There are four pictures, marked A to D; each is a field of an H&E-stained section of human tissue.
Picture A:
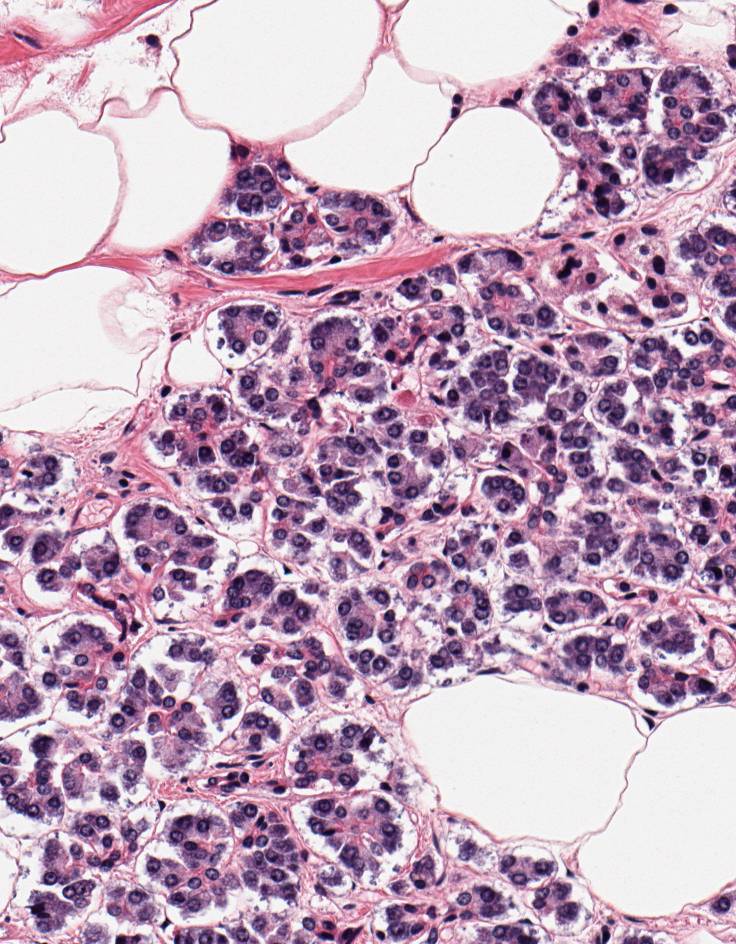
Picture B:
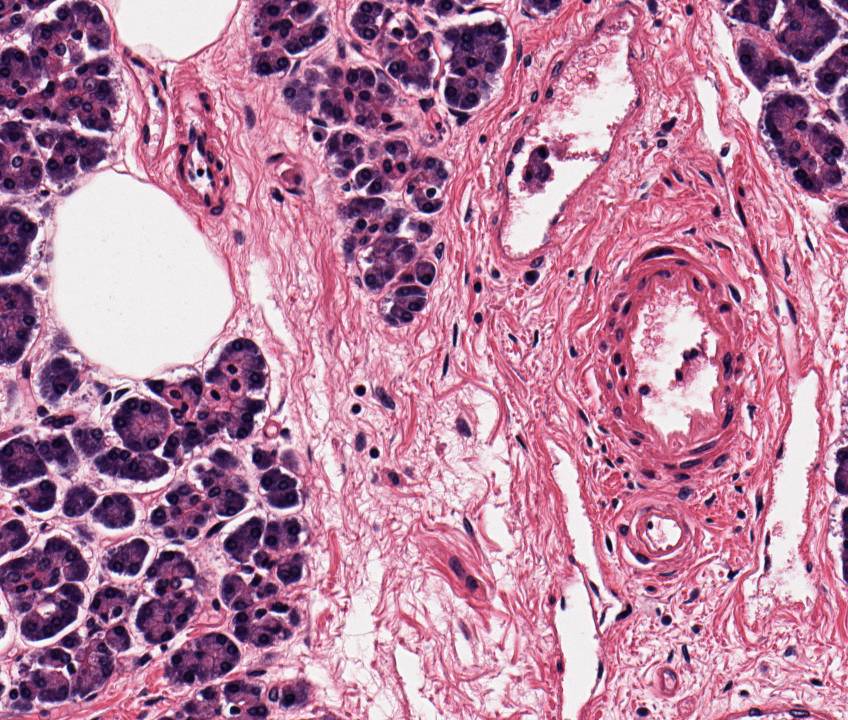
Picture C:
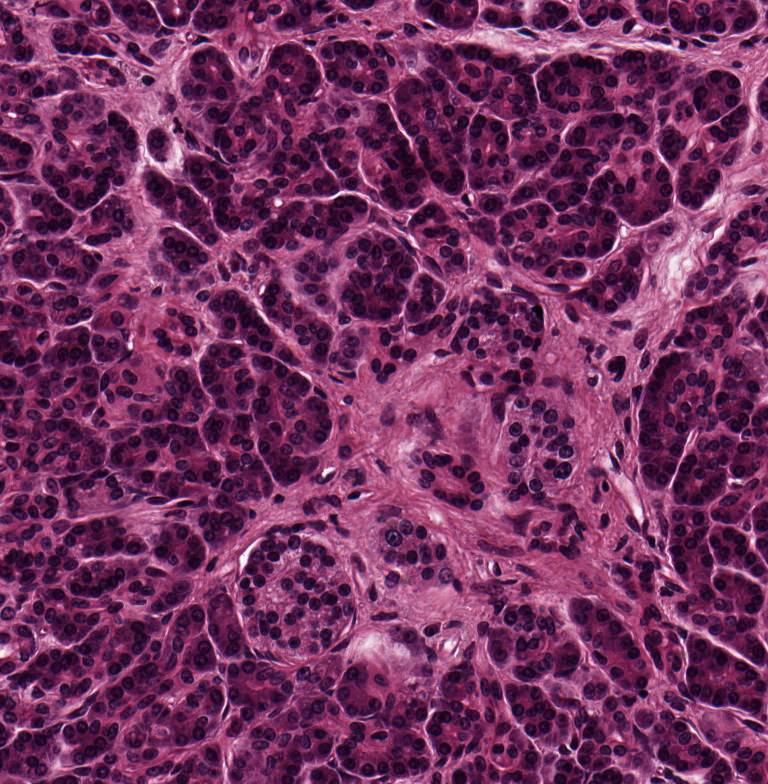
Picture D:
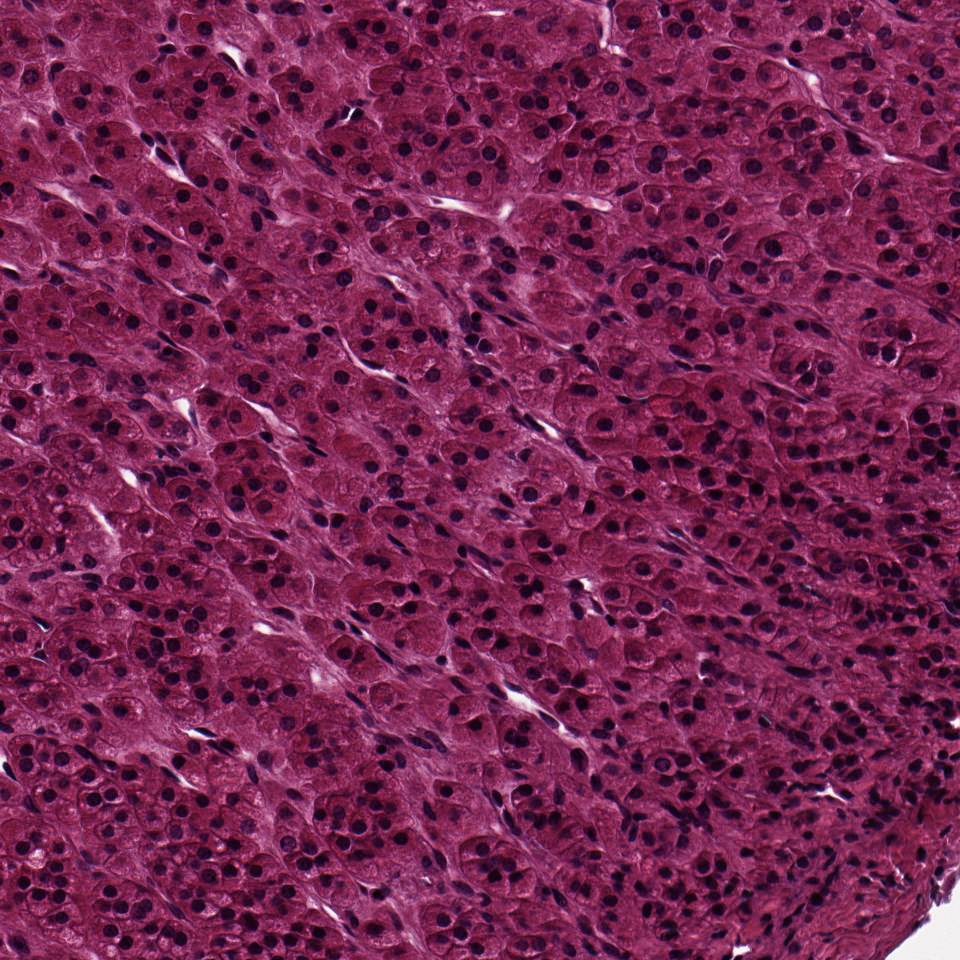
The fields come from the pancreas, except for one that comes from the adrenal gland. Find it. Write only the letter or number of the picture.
D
